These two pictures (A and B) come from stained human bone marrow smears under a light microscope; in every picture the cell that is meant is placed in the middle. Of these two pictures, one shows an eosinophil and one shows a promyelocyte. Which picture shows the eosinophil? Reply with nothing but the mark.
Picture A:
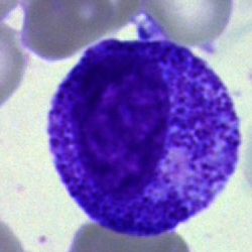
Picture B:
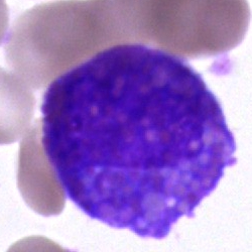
B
